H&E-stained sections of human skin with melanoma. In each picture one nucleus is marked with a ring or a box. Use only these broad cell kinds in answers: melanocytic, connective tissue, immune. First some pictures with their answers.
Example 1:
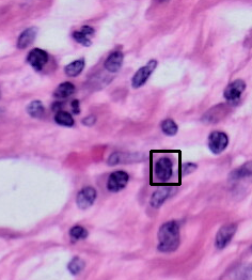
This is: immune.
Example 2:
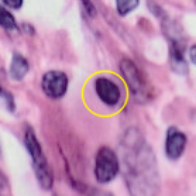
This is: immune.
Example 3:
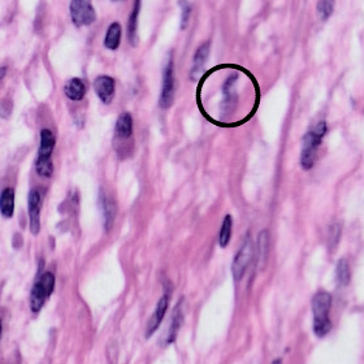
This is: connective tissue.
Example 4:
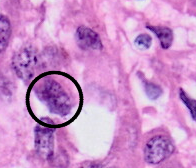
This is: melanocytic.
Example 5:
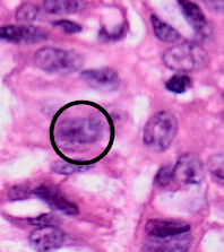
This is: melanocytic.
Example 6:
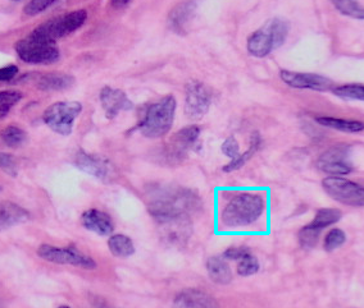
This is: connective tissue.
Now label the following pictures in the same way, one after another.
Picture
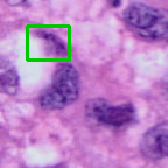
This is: melanocytic.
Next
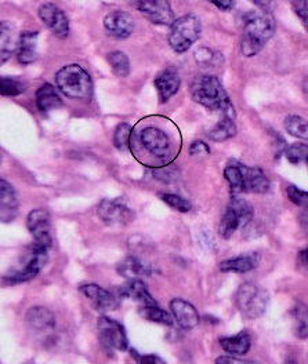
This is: melanocytic.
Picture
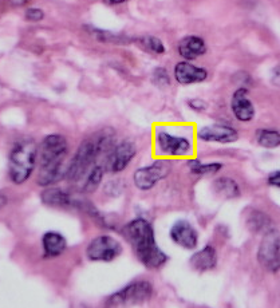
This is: immune.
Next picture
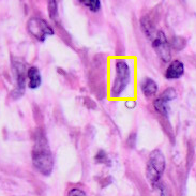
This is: connective tissue.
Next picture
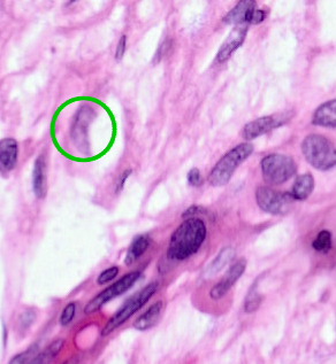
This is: connective tissue.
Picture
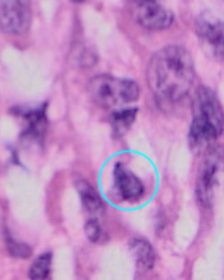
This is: melanocytic.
